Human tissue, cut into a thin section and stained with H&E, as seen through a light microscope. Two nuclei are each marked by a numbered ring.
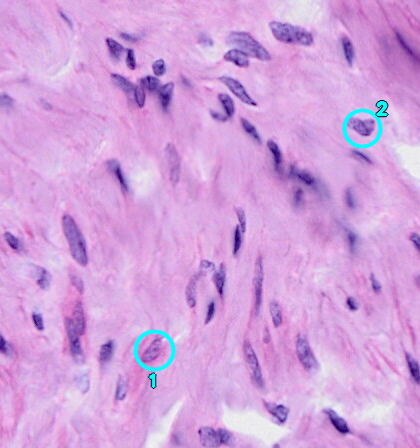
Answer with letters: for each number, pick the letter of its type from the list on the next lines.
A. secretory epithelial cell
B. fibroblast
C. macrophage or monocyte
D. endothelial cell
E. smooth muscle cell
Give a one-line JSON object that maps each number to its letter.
{"1": "E", "2": "B"}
